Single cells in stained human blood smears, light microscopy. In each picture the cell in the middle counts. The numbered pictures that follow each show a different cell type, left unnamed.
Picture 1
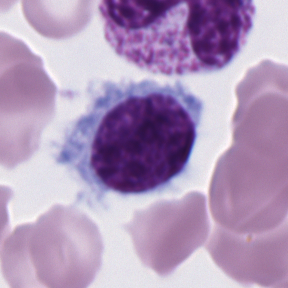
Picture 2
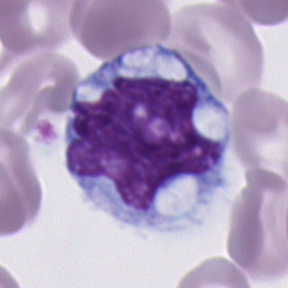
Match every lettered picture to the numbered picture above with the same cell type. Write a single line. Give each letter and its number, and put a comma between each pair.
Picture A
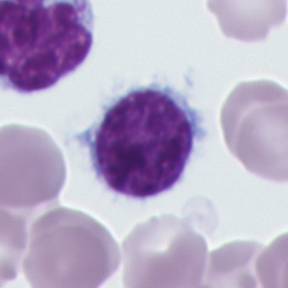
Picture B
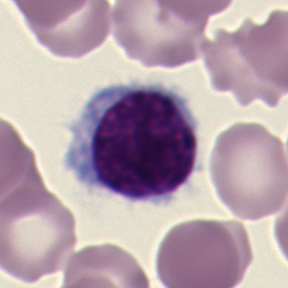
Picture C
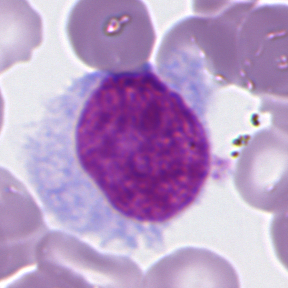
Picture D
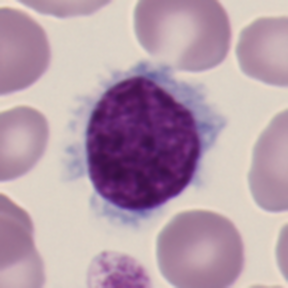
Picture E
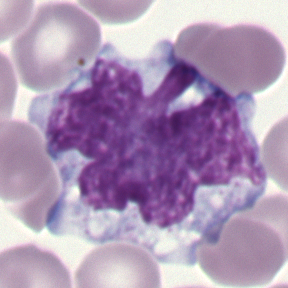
A 1, B 1, C 1, D 1, E 2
